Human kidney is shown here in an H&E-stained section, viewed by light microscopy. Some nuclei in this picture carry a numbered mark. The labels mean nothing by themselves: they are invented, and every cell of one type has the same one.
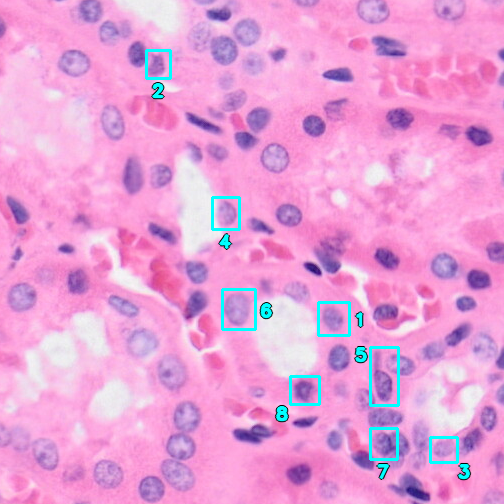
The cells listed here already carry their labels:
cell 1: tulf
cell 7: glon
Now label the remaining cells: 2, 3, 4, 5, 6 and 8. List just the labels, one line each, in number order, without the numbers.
glon
glon
tulf
glon
tulf
tulf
